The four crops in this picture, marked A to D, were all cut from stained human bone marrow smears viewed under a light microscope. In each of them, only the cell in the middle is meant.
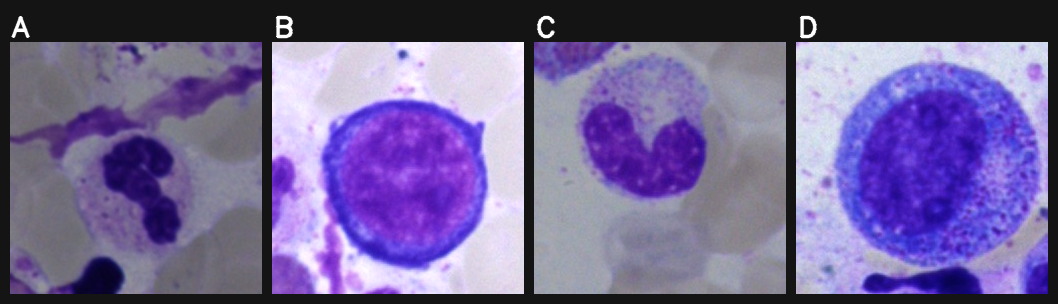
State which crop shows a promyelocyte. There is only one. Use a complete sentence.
On review of the set, crop D is the one showing a promyelocyte.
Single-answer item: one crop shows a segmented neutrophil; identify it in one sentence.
The crop that has a segmented neutrophil in the middle is crop A.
